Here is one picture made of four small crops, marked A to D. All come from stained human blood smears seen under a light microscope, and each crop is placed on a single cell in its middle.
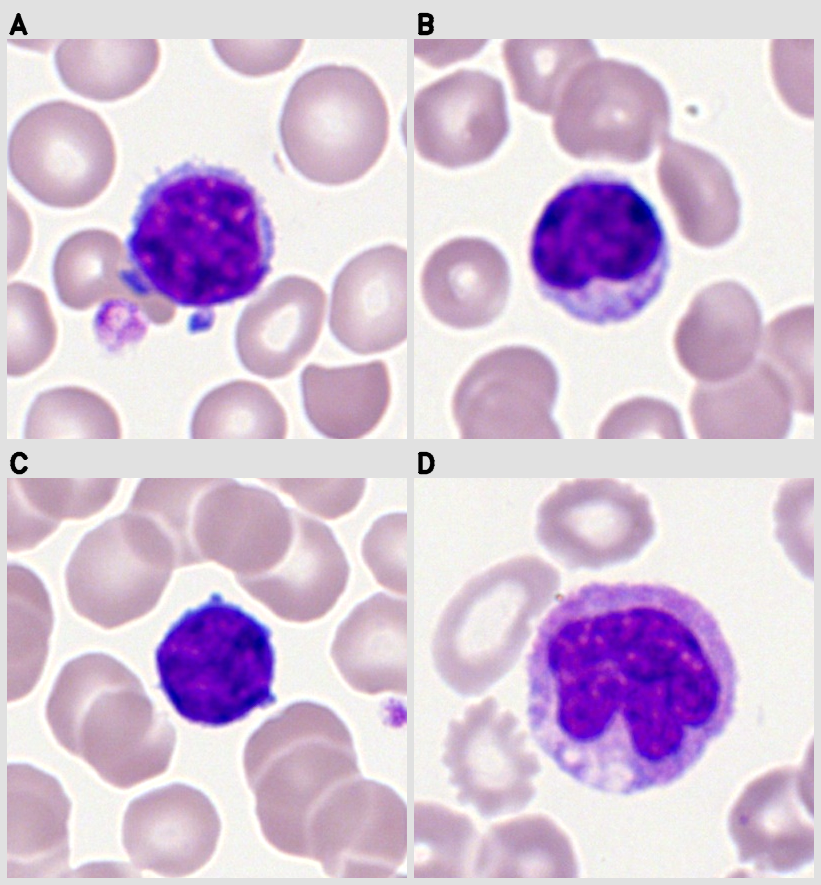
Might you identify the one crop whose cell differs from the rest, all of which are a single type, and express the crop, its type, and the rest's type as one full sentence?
The pattern of lymphocytes across the crops is broken only by crop D, which shows a monocyte.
